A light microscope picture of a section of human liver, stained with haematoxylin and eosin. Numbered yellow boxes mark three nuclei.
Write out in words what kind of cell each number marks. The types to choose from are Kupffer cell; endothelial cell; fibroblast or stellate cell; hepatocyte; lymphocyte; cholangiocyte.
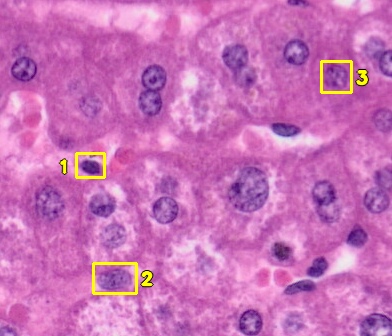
Cell 1 is a lymphocyte. Cell 2 is an endothelial cell. Cell 3 is a hepatocyte.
